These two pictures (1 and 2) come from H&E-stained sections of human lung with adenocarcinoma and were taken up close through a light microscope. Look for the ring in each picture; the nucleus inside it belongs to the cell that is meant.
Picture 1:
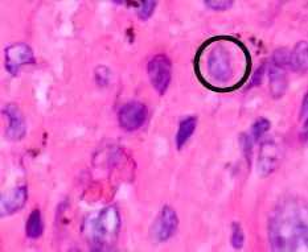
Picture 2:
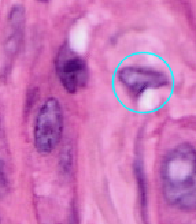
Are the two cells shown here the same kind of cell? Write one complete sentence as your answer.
Yes; the cells in both pictures are fibroblasts.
